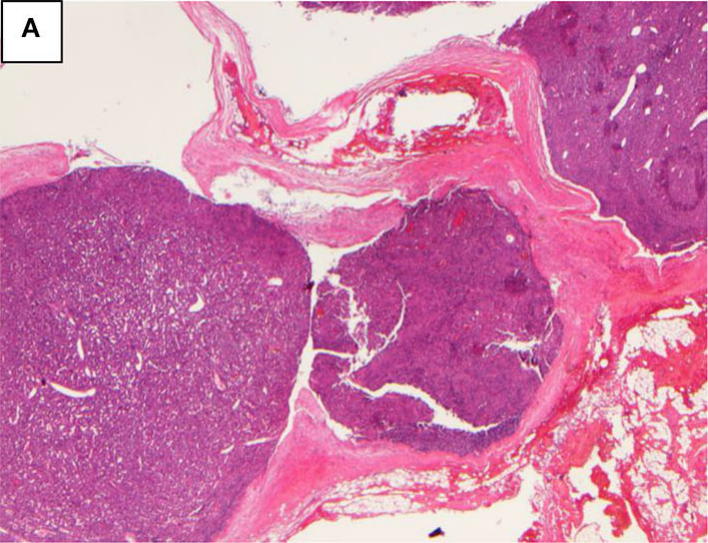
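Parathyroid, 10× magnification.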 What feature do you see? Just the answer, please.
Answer: multiple nodules with fibrous bands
